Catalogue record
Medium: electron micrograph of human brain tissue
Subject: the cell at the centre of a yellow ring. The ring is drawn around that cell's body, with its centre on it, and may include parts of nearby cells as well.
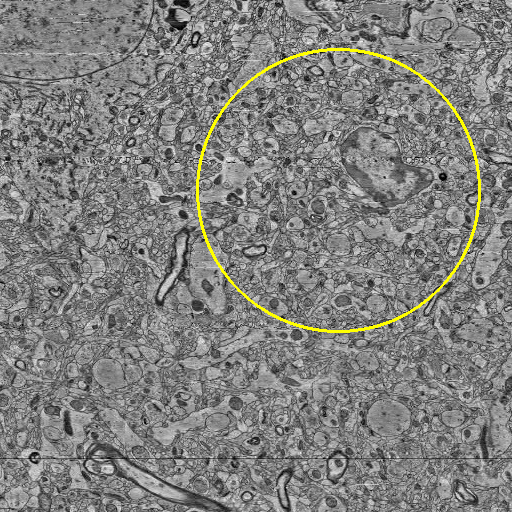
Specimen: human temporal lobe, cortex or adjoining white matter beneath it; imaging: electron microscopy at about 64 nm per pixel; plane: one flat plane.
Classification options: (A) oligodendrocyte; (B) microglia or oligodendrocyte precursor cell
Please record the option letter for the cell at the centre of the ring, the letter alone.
B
